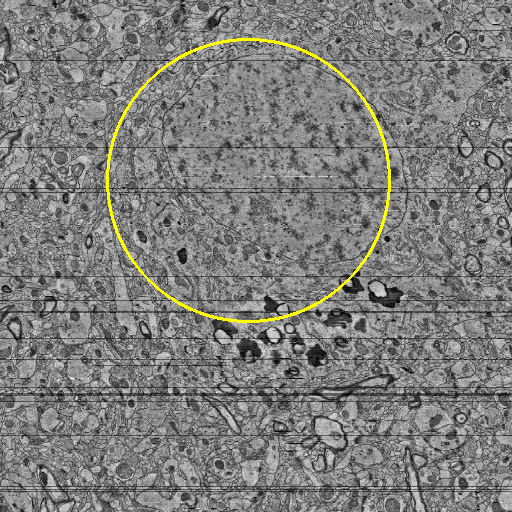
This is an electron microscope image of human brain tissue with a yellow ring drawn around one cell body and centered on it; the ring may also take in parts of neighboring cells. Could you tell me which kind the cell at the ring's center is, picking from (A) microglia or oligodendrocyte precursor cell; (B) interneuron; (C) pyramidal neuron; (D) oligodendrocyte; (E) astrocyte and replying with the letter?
C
